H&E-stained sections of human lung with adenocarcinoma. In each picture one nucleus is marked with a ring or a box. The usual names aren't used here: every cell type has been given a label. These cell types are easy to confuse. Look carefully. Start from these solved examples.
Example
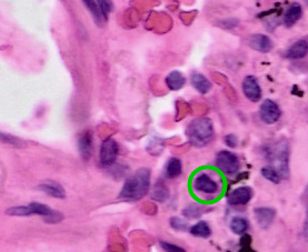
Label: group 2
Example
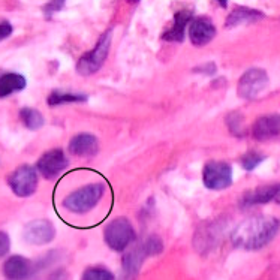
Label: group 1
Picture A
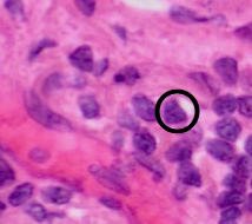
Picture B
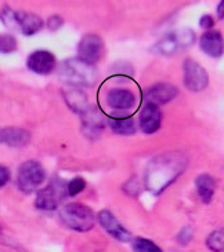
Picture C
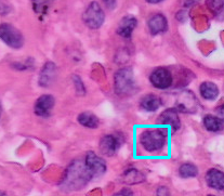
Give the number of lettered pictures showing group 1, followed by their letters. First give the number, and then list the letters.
3, namely A, B, C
